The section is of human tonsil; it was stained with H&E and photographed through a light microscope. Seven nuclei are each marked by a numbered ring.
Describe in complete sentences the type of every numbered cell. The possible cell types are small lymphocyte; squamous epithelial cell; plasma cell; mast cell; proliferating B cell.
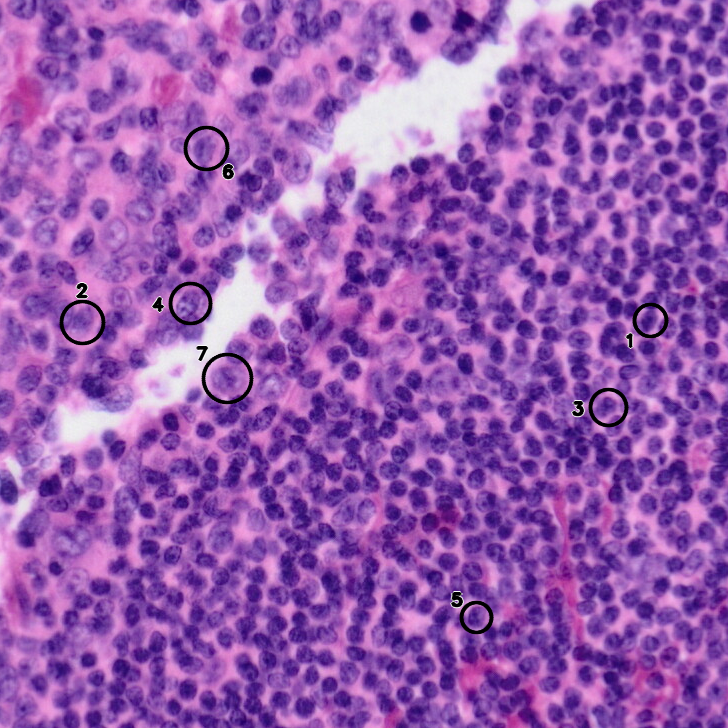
Cell 1 is a small lymphocyte, cell 2 is a proliferating B cell, cell 3 is a small lymphocyte, cell 4 is a proliferating B cell, cell 5 is a small lymphocyte, cell 6 is a proliferating B cell and cell 7 is a proliferating B cell.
